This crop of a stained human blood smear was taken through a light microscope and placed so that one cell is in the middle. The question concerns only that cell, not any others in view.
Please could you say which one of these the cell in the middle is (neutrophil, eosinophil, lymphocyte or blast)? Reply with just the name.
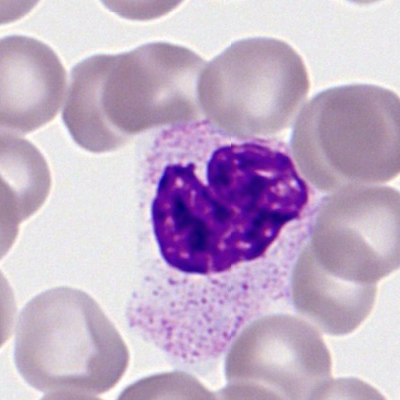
neutrophil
